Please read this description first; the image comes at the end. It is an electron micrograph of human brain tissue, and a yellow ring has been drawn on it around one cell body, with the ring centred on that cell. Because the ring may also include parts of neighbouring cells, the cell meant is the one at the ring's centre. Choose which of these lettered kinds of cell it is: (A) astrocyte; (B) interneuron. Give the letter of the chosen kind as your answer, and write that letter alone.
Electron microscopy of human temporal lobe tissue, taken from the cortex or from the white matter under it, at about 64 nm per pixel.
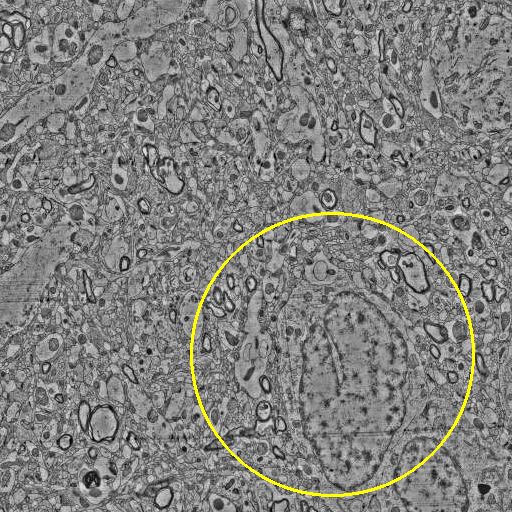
B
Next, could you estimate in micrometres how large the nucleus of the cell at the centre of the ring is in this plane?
About 13 by 7 micrometers in this plane, so the nucleus is clearly longer than it is wide.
